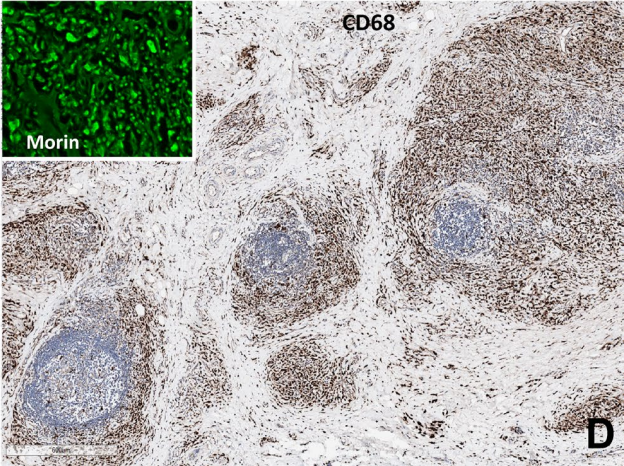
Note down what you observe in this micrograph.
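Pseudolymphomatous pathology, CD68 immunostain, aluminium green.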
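Large brown-stained sheets of plump cells form thick rings around round, blue-counterstained cellular centres, and spread out into the fibrous tissue between them. In the fluorescent inset, many irregular cell bodies glow bright green throughout their cytoplasm against a dark background.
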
